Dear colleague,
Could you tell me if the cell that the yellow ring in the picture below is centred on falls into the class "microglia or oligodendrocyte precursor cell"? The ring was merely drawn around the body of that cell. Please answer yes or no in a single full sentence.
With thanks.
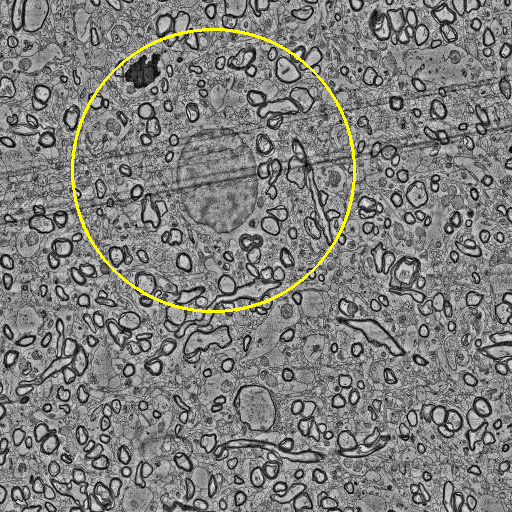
No, the cell on which the ring in your picture is centred falls into a different class.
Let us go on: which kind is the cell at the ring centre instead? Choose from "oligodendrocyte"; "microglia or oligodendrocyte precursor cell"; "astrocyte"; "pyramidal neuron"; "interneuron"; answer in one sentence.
The ringed cell in this picture is, instead, an oligodendrocyte.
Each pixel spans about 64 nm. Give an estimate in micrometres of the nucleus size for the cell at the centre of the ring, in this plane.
In this plane the nucleus is about 7 micrometres by 5.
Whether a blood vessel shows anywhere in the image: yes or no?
No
